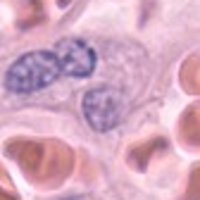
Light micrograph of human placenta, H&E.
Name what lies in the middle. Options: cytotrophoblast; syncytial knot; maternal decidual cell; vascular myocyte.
cytotrophoblast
